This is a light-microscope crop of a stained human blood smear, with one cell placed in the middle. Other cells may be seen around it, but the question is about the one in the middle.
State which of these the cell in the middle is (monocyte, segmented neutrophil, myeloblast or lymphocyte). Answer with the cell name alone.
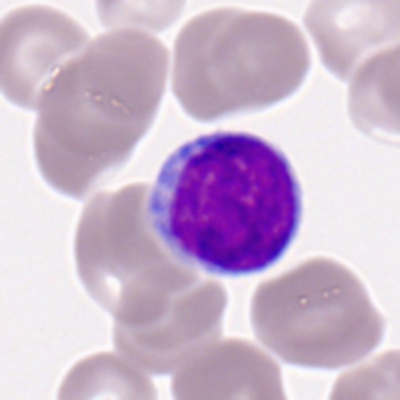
lymphocyte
